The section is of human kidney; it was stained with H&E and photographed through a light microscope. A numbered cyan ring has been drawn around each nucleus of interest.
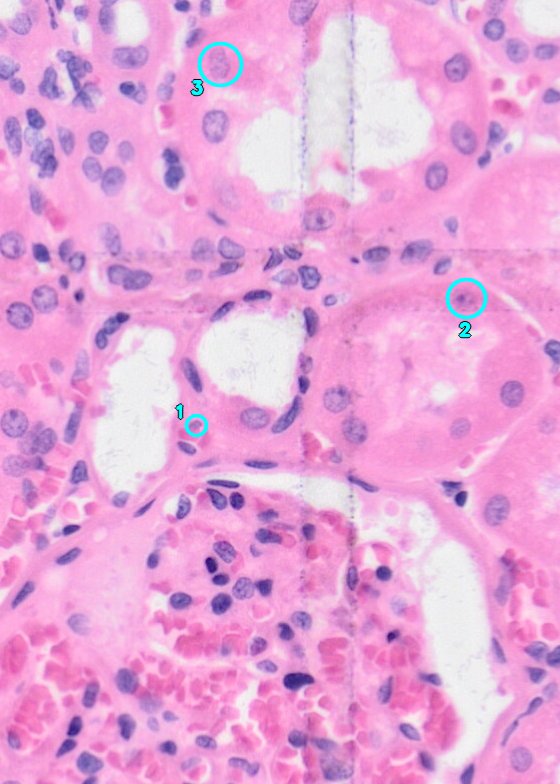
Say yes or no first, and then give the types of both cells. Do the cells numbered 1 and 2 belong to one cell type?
No, cell 1 is an endothelial cell and cell 2 is a proximal tubule cell.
